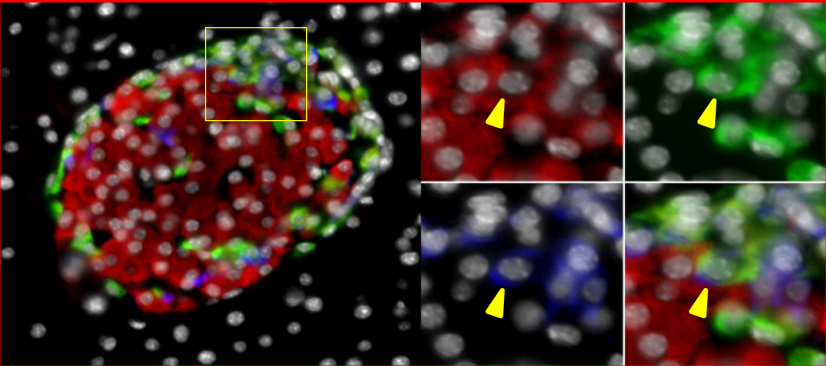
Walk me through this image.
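This is a round pancreatic islet seen by confocal fluorescence, with every nucleus shown in white. Outside the islet only scattered nuclei of the surrounding tissue are seen.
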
